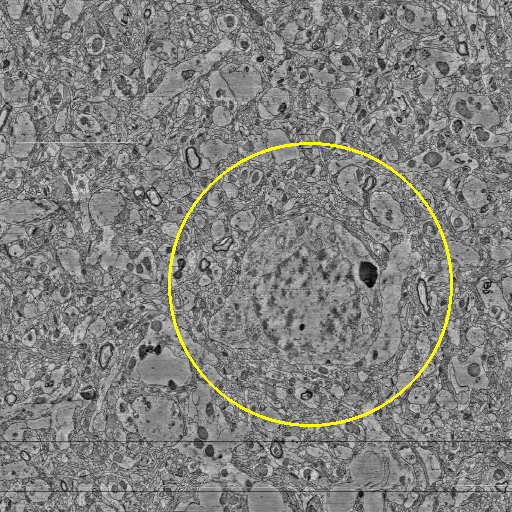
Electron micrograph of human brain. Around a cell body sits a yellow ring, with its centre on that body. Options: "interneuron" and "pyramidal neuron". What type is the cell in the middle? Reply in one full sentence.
The cell sitting at the centre of the yellow ring is an interneuron.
